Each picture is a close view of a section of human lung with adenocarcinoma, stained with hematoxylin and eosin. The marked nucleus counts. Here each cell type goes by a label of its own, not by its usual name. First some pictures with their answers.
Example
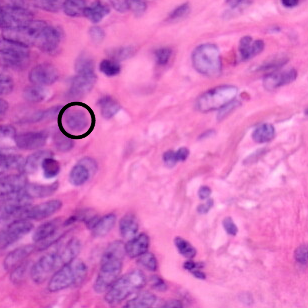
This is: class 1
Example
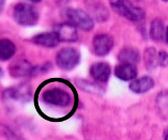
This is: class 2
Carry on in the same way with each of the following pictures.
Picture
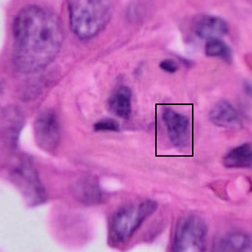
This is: class 2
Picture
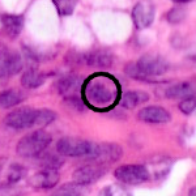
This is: class 1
